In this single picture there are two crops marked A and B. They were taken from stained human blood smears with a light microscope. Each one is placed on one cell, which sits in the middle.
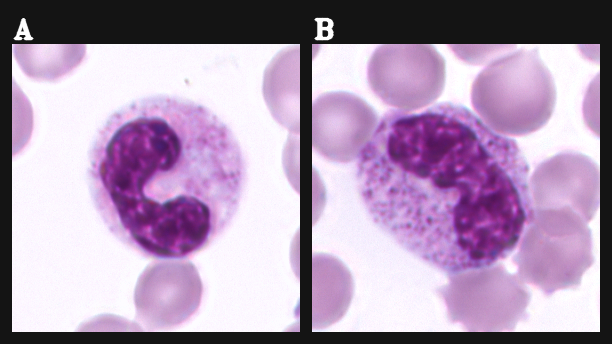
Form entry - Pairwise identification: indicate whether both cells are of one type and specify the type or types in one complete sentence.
Yes, the cells under consideration in both crops are band neutrophils.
